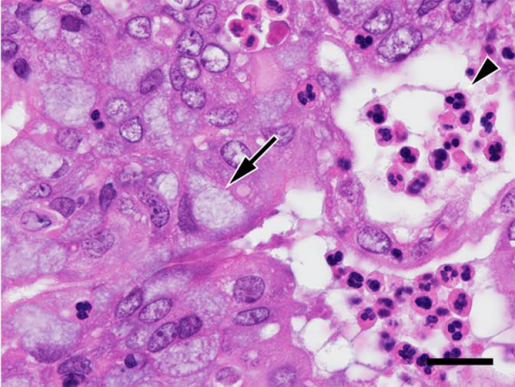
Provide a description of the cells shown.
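High-power view of tumor epithelium with mucinous differentiation beside a gland lumen filled with neutrophils. The tumor cells are large, with oval to irregular vesicular nuclei, fine chromatin and small nucleoli. Many have abundant pale, foamy, grey-blue cytoplasm, while others have denser pink cytoplasm. At the right, a clear glandular space contains a cluster of small cells with dark, segmented, lobed nuclei and pink cytoplasm, typical of neutrophils; a few such cells also lie scattered among the tumor cells.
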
